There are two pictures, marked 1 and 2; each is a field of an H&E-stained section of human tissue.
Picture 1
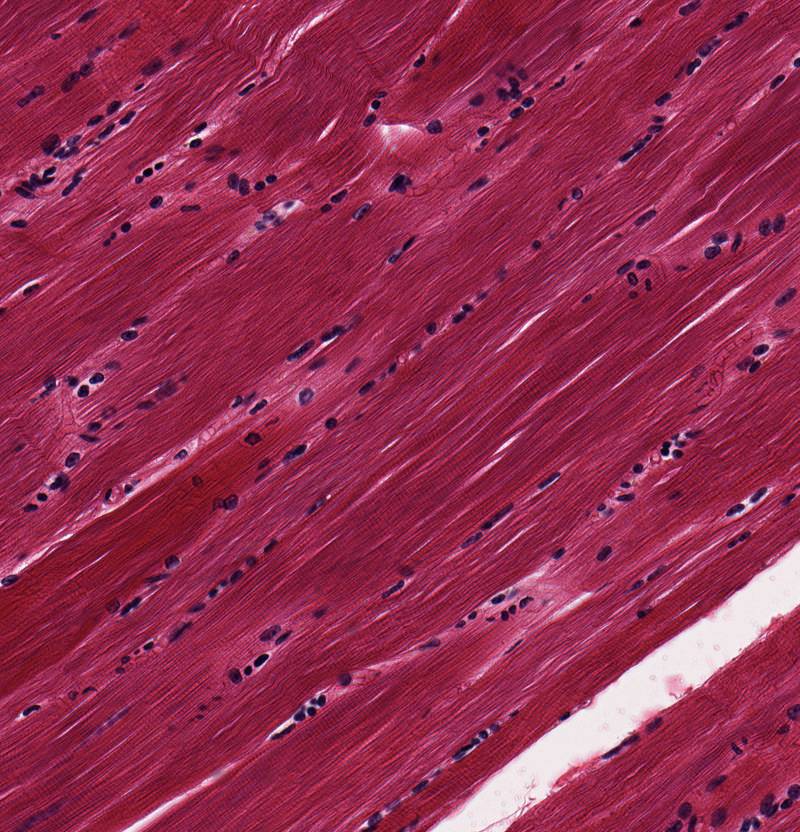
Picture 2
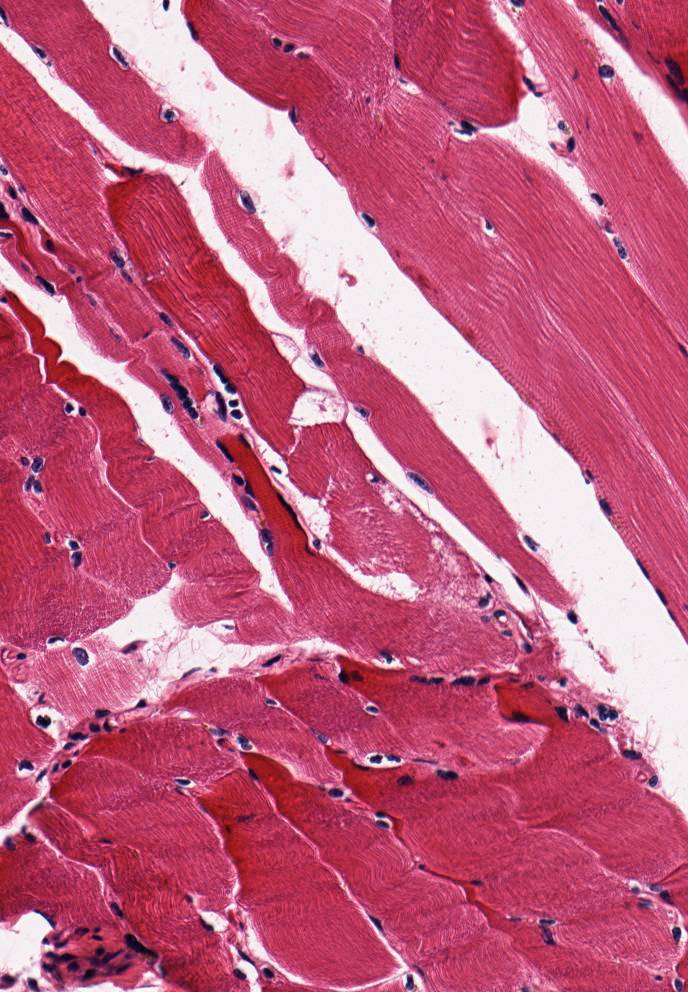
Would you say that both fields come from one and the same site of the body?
yes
